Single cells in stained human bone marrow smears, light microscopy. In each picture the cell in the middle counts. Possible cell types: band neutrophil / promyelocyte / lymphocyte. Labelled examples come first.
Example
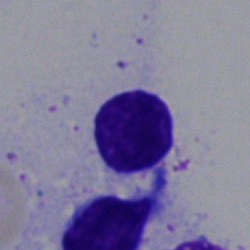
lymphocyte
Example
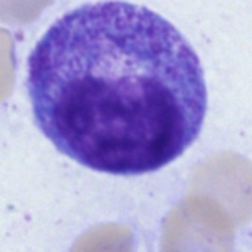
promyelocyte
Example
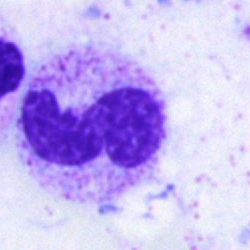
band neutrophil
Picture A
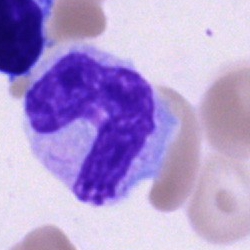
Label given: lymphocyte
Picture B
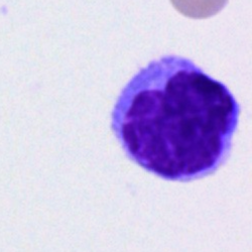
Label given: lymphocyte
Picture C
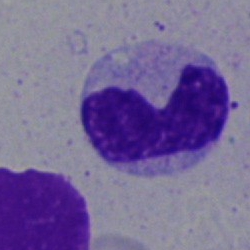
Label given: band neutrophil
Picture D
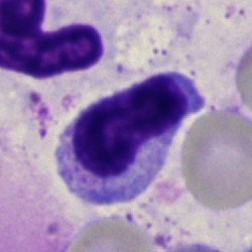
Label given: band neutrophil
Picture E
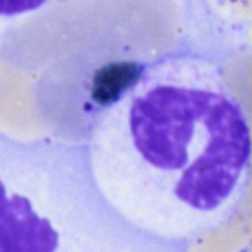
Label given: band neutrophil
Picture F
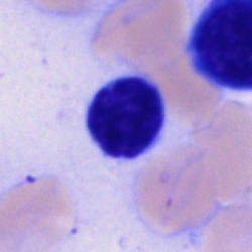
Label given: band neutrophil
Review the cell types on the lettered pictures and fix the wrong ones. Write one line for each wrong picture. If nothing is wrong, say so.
A: not lymphocyte but band neutrophil
F: not band neutrophil but lymphocyte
